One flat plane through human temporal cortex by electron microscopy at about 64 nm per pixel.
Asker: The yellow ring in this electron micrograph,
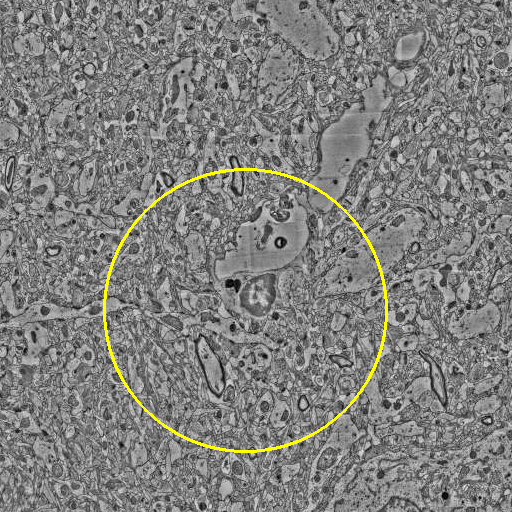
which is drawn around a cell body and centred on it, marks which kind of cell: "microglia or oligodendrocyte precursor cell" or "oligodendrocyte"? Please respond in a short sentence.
The marked cell is a microglial cell or oligodendrocyte precursor cell.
